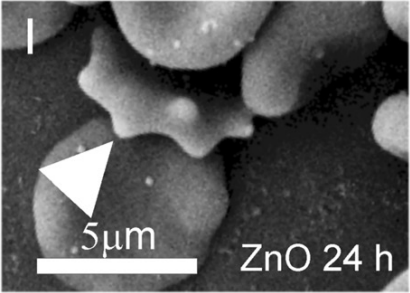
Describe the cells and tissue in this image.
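In the centre one cell is clearly different: its outline is crenated, with several blunt spiny projections around its edge, the form of an echinocyte. The surrounding cells keep a rounded, smooth-edged disc shape. A few tiny bright particles are scattered over the cell surfaces.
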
